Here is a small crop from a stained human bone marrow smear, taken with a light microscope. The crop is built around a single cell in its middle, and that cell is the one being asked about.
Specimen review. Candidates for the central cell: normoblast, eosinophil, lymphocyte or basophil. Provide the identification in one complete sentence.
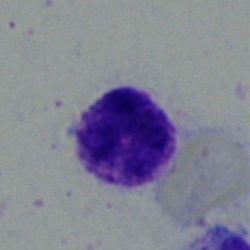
This crop is built around a basophil at its centre.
